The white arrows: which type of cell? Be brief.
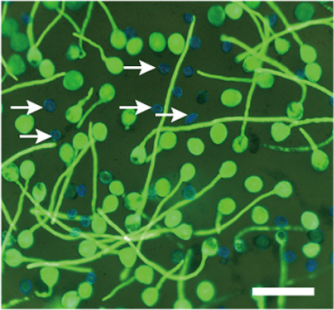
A: Abortive pollen grains.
